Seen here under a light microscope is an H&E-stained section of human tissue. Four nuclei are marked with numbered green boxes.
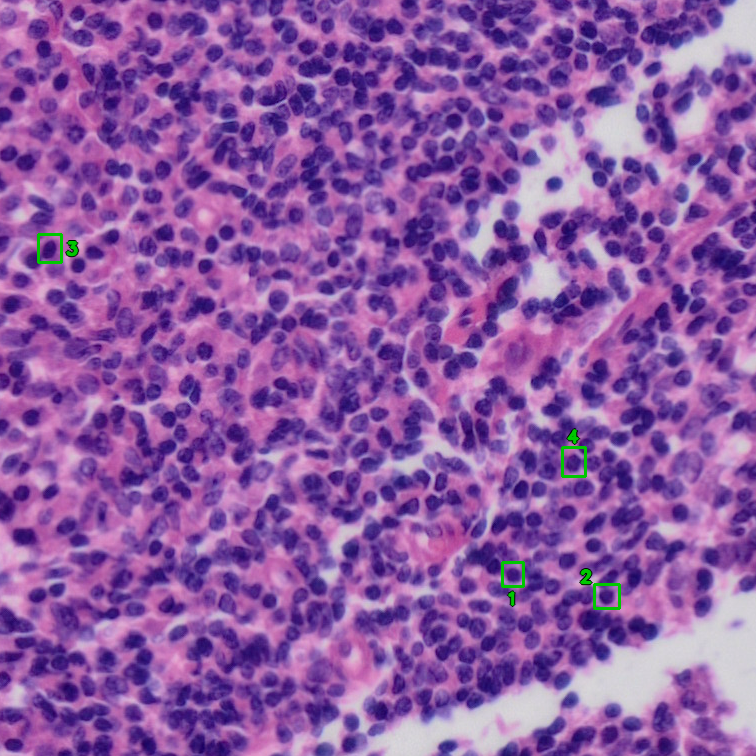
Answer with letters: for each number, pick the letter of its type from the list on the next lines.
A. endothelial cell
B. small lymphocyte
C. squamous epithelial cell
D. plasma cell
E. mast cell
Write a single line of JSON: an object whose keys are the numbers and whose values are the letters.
{"1": "B", "2": "B", "3": "D", "4": "B"}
